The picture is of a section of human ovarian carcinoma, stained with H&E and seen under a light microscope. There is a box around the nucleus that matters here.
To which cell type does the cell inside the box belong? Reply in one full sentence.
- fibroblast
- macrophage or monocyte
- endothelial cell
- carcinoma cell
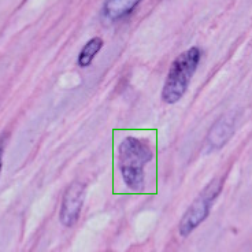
The cell inside the box is a macrophage or monocyte.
